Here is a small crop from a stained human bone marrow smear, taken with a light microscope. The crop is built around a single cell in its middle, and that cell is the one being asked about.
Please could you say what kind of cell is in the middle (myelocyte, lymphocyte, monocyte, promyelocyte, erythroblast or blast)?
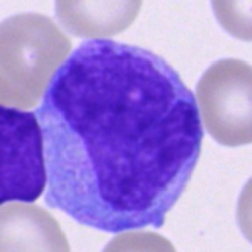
monocyte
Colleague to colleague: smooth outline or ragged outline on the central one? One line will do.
The periphery of this cell is uneven, with ragged portions or projections.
